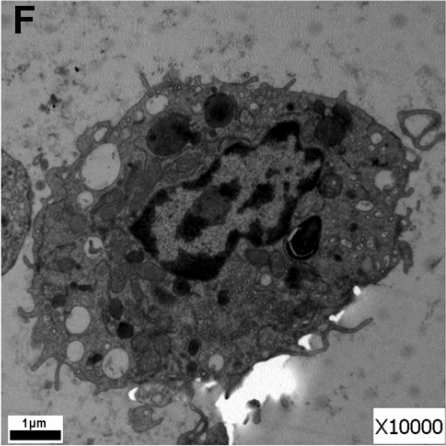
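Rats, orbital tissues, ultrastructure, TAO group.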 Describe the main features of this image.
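A single macrophage lies free in pale extracellular material, with an irregular outline bearing many short cytoplasmic processes. Its nucleus is irregular with coarse clumps of dark chromatin, and the cytoplasm is crowded with clear vacuoles and dense bodies.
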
